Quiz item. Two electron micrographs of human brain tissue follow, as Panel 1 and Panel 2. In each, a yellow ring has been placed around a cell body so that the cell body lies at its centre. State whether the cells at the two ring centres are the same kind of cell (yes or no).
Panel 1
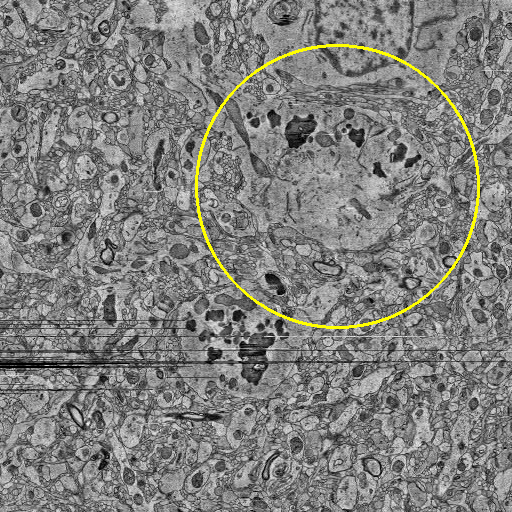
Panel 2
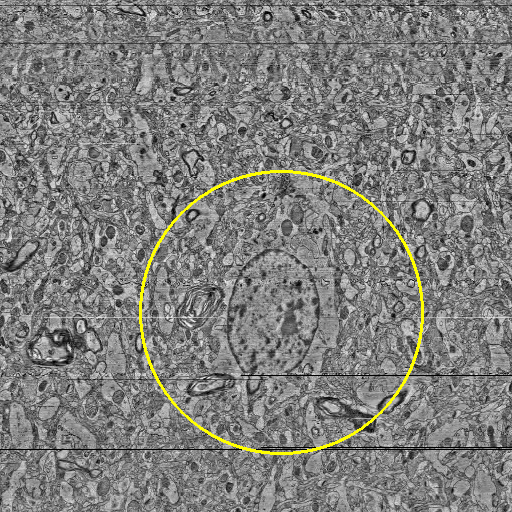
yes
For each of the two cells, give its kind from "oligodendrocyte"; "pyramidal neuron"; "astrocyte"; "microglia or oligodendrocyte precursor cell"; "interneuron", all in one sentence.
The second cell is an astrocyte, just as the first is.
